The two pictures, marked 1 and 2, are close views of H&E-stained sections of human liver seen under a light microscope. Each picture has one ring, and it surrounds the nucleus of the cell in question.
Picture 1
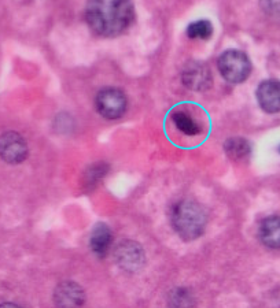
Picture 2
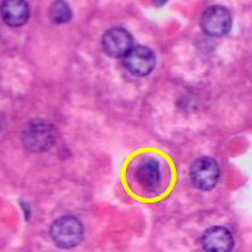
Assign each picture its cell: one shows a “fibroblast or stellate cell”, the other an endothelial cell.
1: fibroblast or stellate cell
2: endothelial cell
